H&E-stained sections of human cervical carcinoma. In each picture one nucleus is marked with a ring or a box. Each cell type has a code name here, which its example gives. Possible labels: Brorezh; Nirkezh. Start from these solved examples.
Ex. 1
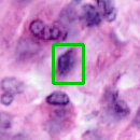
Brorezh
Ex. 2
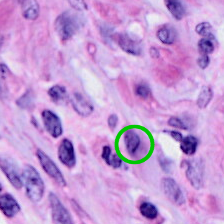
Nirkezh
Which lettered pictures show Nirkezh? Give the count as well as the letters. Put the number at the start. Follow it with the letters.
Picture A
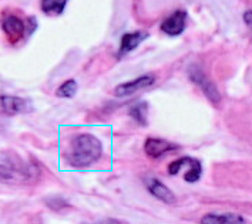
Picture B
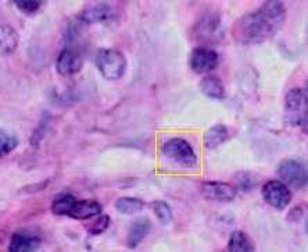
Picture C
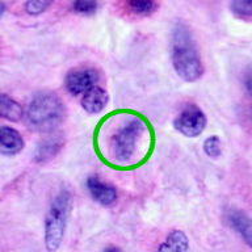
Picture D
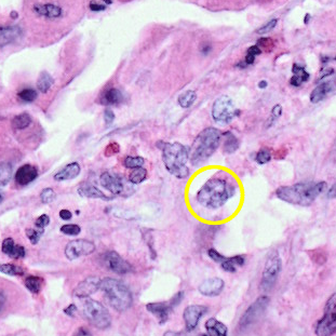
3: A, C, D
